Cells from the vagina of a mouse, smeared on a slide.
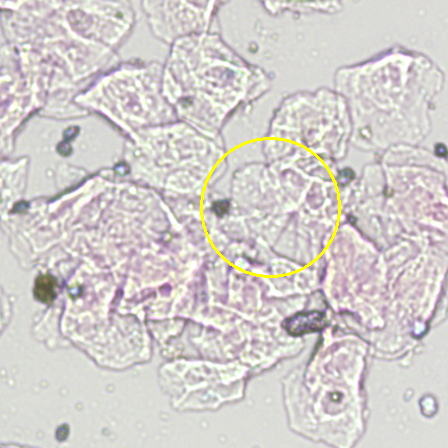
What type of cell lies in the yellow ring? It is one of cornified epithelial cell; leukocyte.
The ringed cell is a cornified epithelial cell.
